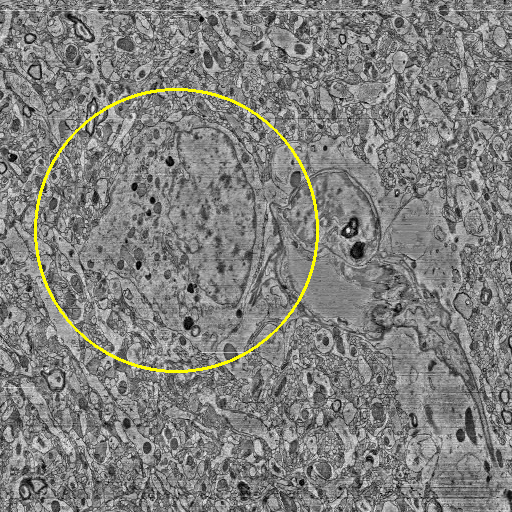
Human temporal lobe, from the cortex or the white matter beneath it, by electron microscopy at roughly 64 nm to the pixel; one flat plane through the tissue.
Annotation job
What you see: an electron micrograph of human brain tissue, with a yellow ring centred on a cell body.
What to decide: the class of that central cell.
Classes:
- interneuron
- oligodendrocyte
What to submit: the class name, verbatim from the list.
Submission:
interneuron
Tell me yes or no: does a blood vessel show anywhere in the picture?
Yes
